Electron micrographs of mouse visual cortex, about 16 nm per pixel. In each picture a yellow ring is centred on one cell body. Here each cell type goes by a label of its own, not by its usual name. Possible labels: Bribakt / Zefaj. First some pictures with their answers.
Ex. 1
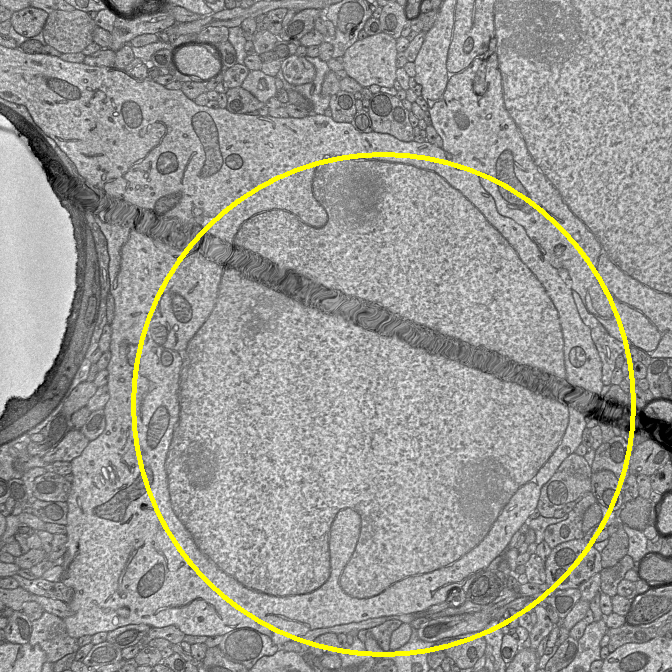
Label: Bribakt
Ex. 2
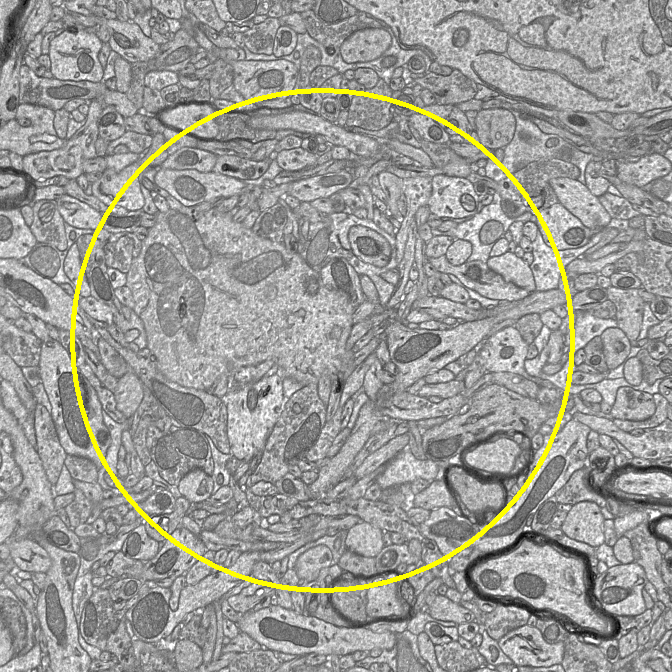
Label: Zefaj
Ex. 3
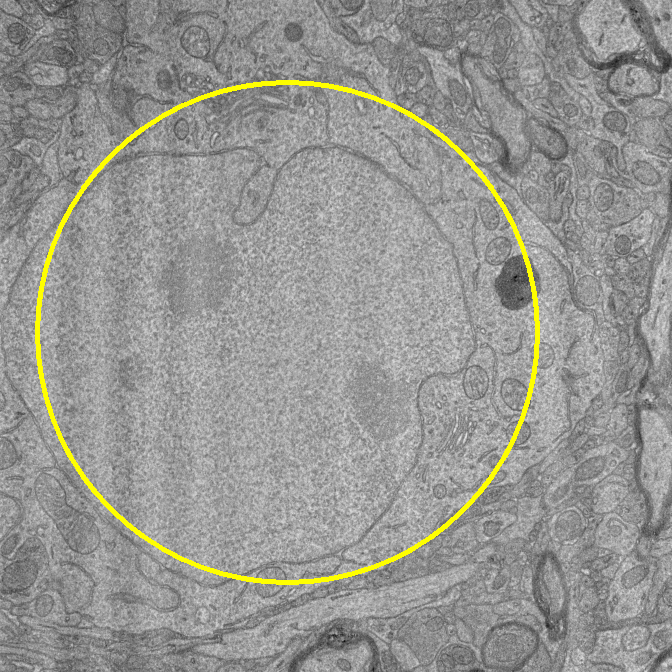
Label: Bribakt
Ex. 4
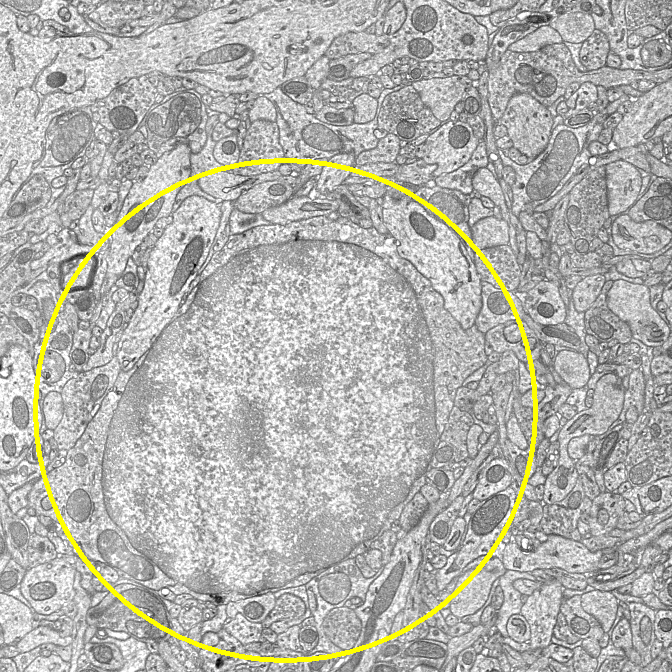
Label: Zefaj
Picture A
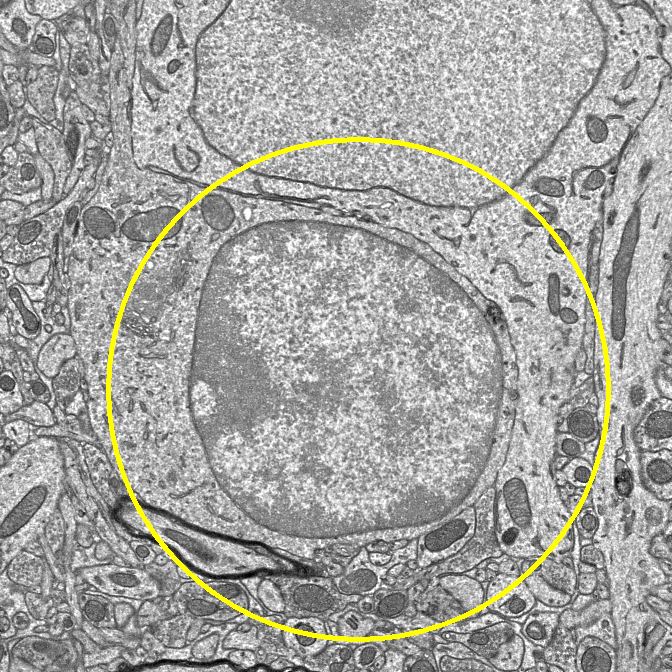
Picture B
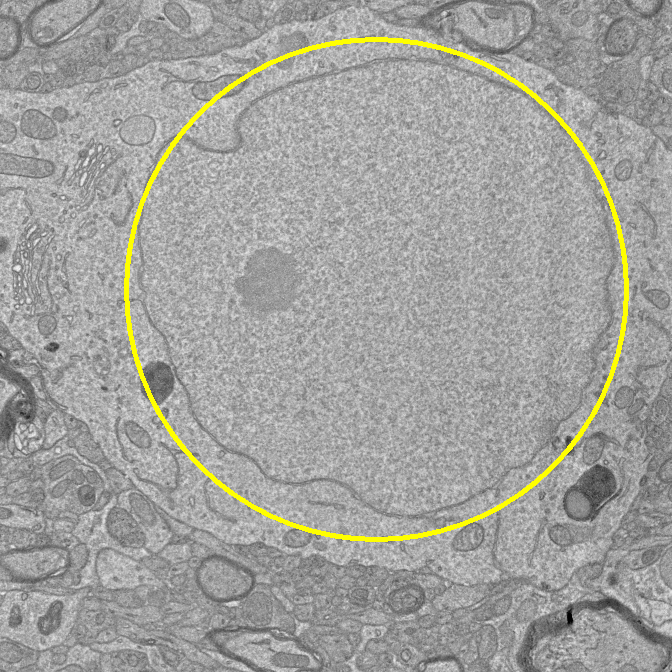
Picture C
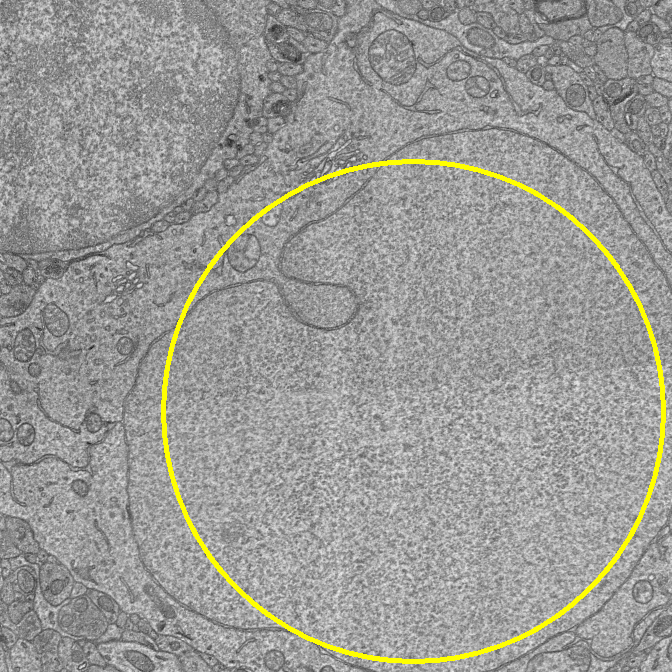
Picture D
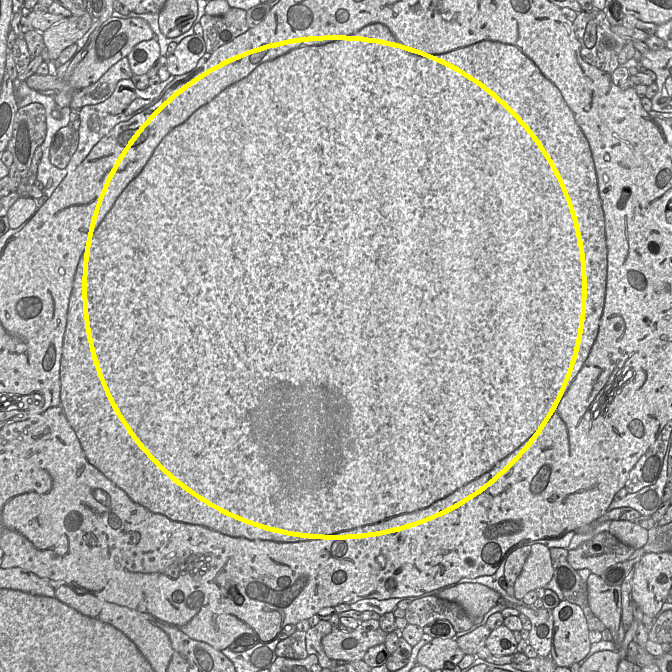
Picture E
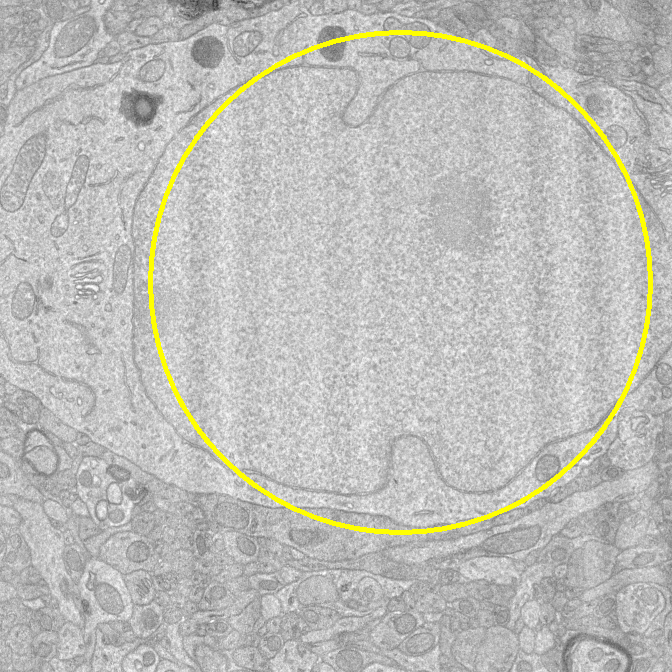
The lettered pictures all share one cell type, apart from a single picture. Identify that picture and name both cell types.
A differs and shows Zefaj; the others show Bribakt.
